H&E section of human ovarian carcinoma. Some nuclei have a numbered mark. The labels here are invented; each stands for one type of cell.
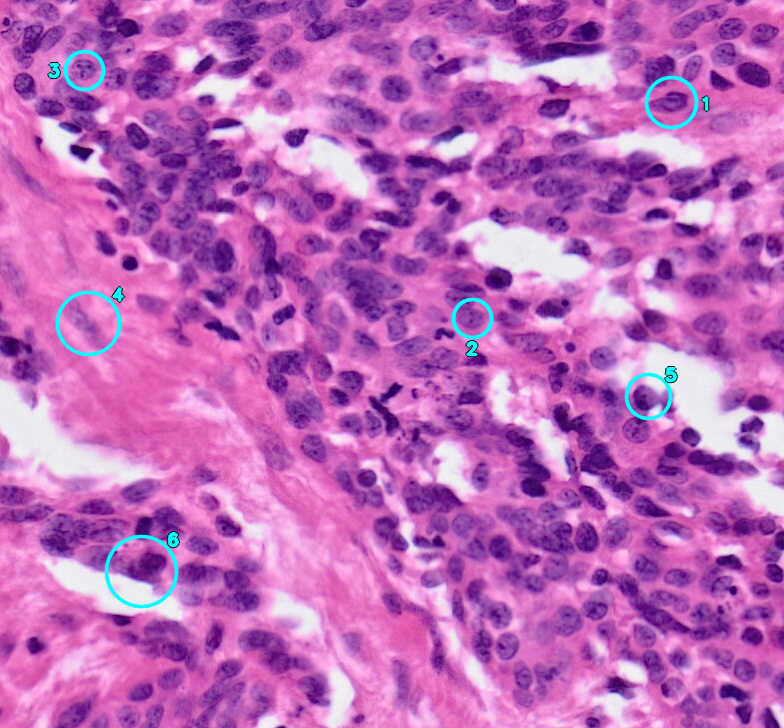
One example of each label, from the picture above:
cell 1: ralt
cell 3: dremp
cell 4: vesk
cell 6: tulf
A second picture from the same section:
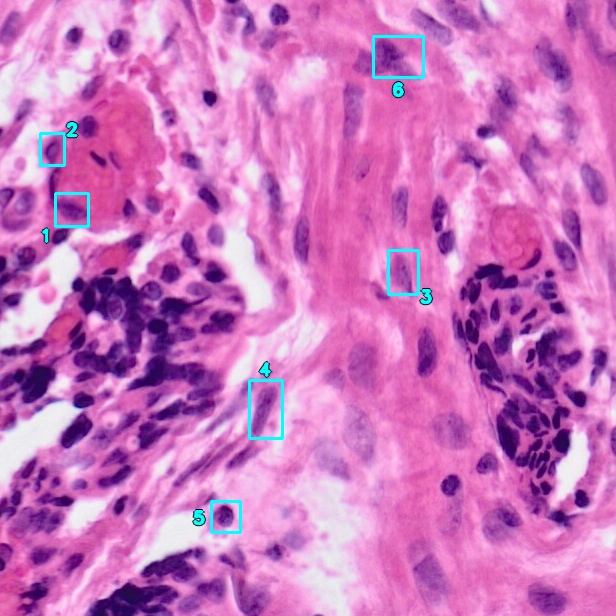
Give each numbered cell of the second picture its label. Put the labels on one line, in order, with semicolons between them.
ralt; vesk; vesk; vesk; dremp; vesk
